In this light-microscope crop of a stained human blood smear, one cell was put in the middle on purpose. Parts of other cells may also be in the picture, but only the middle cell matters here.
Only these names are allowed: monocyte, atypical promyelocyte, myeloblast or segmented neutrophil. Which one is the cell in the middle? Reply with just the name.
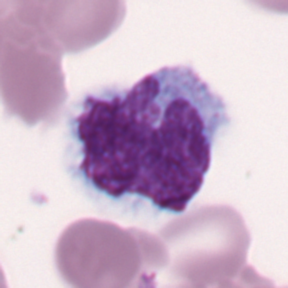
monocyte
